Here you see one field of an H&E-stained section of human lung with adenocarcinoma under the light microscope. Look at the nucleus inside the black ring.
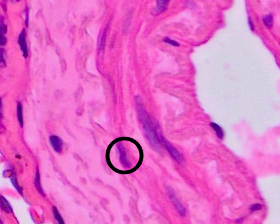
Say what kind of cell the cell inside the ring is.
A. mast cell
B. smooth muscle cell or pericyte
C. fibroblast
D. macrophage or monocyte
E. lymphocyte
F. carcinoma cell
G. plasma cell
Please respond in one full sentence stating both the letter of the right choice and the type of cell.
Option B gets it right: the cell inside the ring is a smooth muscle cell or pericyte.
